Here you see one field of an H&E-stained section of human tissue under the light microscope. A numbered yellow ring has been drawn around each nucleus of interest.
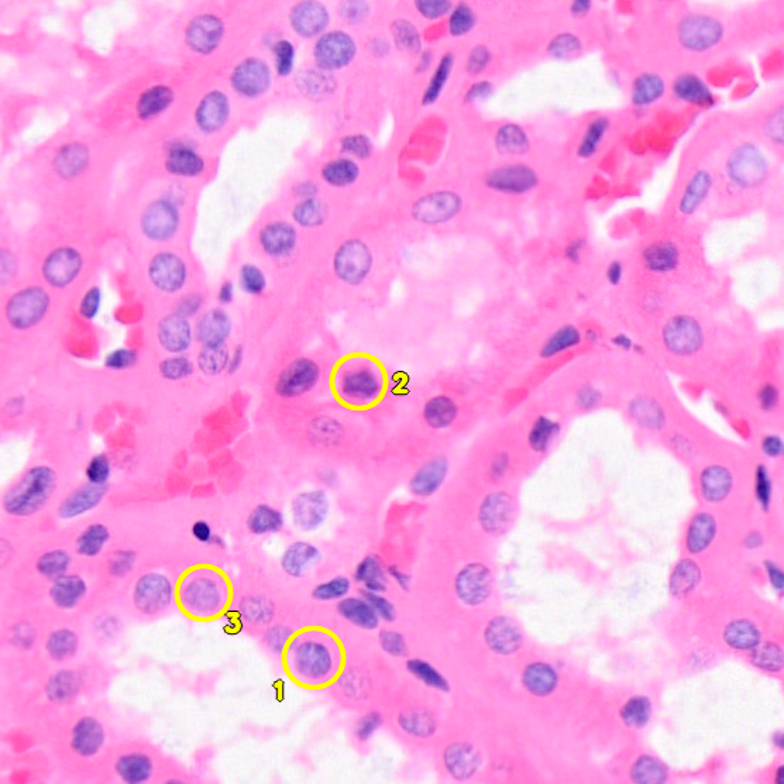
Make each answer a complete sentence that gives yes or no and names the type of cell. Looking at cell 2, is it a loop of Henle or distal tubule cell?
No, the cell labelled number 2 is not a loop of Henle or distal tubule cell; it is a proximal tubule cell.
